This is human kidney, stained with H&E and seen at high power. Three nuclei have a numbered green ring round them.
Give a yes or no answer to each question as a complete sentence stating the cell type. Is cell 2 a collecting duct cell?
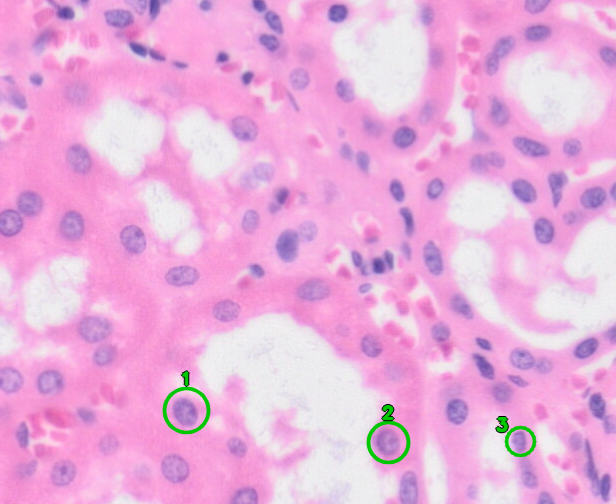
No, it is a proximal tubule cell, rather than a collecting duct cell, that carries number 2.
